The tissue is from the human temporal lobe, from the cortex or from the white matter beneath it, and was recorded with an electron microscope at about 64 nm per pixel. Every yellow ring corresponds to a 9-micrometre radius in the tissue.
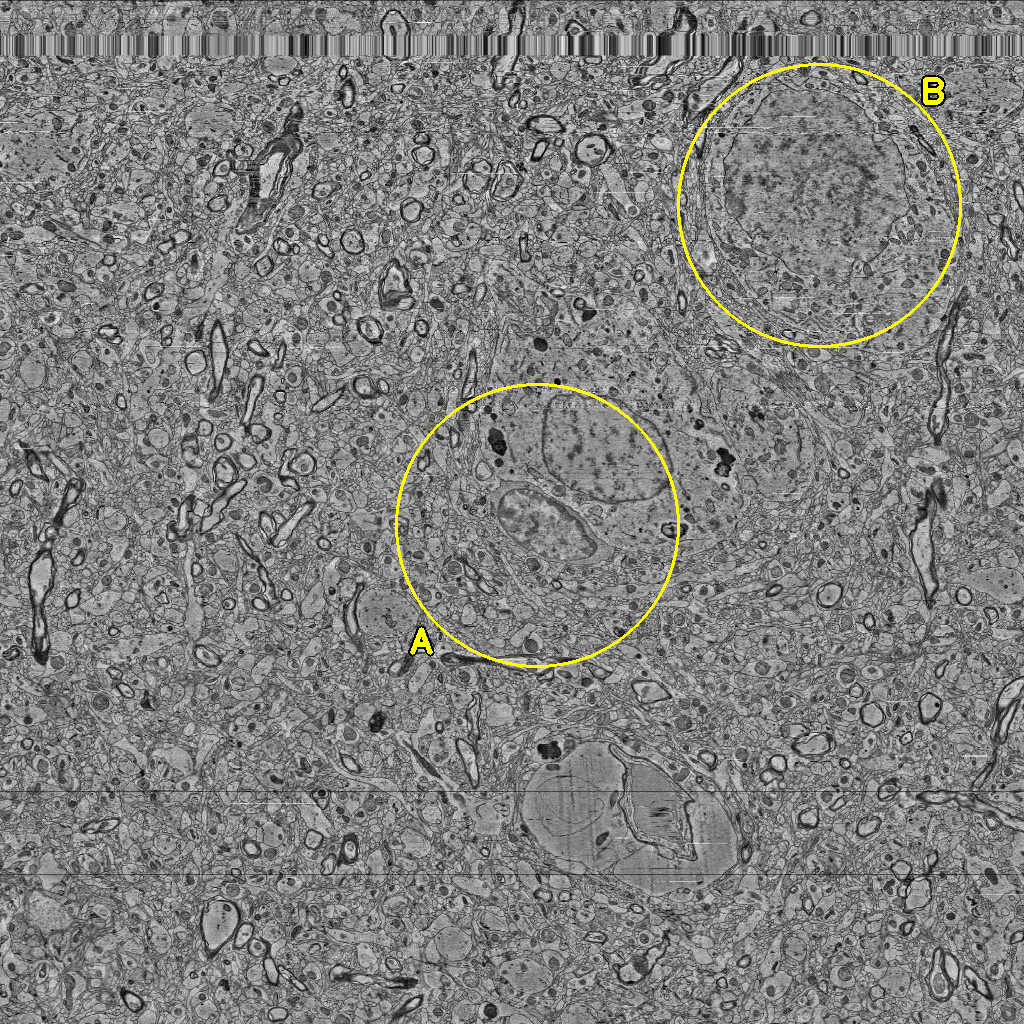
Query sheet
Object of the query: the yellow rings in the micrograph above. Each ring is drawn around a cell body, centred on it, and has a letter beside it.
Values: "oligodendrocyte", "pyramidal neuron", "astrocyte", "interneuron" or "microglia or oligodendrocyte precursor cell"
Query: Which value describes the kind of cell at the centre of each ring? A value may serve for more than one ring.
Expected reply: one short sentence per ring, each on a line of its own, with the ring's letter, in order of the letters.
I assign an oligodendrocyte to ring A.
I assign an interneuron to ring B.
